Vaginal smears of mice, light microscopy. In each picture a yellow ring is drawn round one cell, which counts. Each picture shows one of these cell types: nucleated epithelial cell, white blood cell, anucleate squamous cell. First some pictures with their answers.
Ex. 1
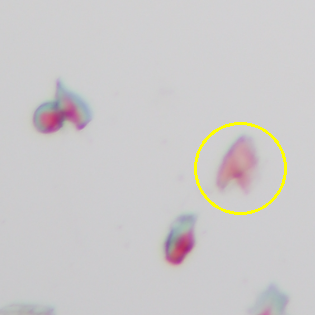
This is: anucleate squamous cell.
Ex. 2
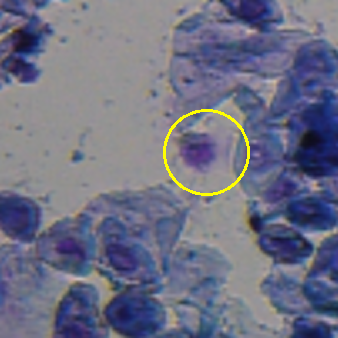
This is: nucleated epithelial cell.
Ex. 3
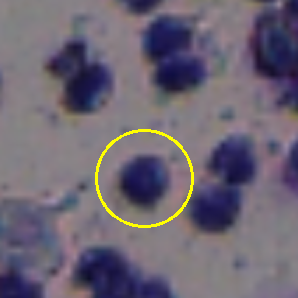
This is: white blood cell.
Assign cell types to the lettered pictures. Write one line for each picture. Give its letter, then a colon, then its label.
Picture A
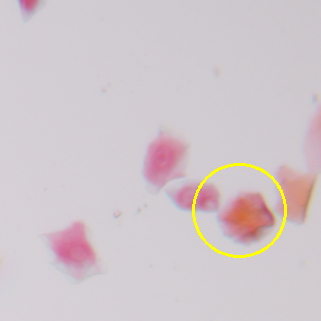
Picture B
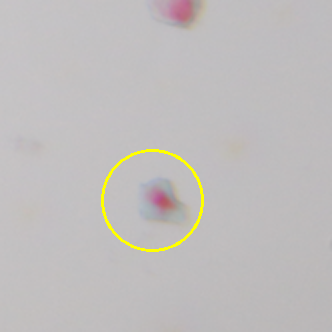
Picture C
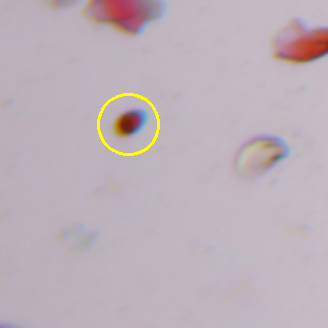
A: anucleate squamous cell.
B: nucleated epithelial cell.
C: white blood cell.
